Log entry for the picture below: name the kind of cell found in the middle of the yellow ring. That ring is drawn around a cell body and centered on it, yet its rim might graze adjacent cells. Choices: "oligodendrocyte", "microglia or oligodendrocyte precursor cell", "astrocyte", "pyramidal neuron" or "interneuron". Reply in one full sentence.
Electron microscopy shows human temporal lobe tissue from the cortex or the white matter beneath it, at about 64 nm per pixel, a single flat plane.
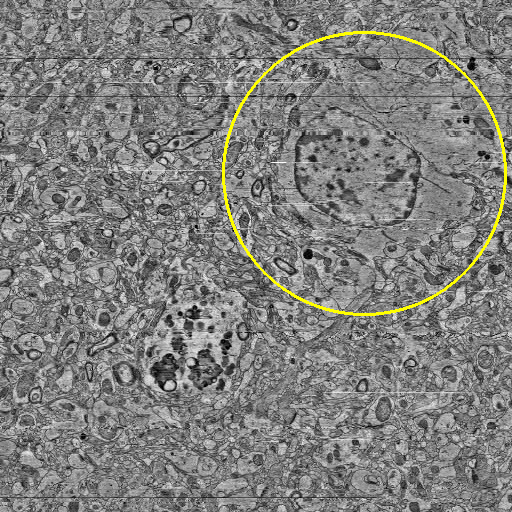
The cell in the middle of the yellow ring in this picture is an astrocyte.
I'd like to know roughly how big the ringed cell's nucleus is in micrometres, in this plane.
The nucleus of the ringed cell is approximately 8 by 7 micrometres in this plane.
